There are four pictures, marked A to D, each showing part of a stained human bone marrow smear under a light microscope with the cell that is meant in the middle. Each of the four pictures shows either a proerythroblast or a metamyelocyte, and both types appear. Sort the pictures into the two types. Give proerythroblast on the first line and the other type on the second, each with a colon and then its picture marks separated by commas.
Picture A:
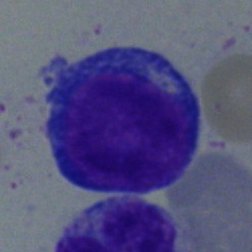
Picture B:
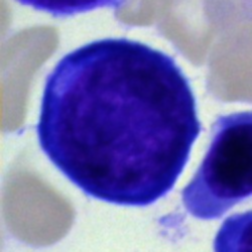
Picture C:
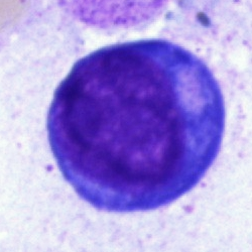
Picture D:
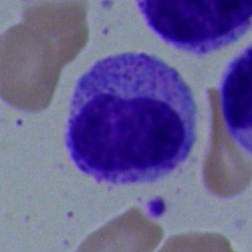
proerythroblast: A, B, C
metamyelocyte: D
